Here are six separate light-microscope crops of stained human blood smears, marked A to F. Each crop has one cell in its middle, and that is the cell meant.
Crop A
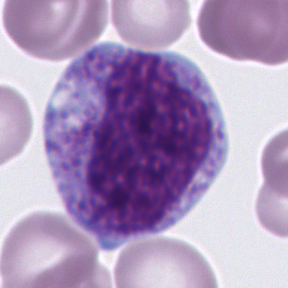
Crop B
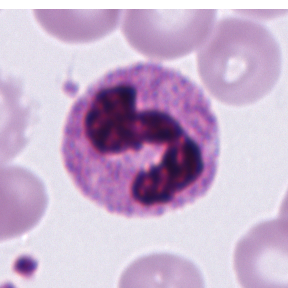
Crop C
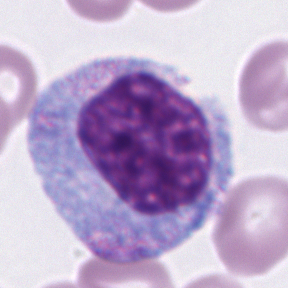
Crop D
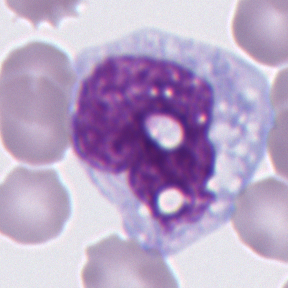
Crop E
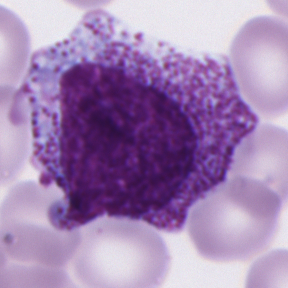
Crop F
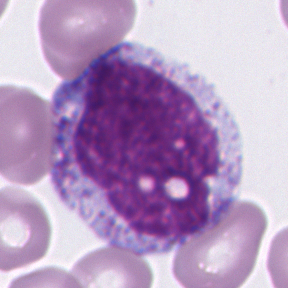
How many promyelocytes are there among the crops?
4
